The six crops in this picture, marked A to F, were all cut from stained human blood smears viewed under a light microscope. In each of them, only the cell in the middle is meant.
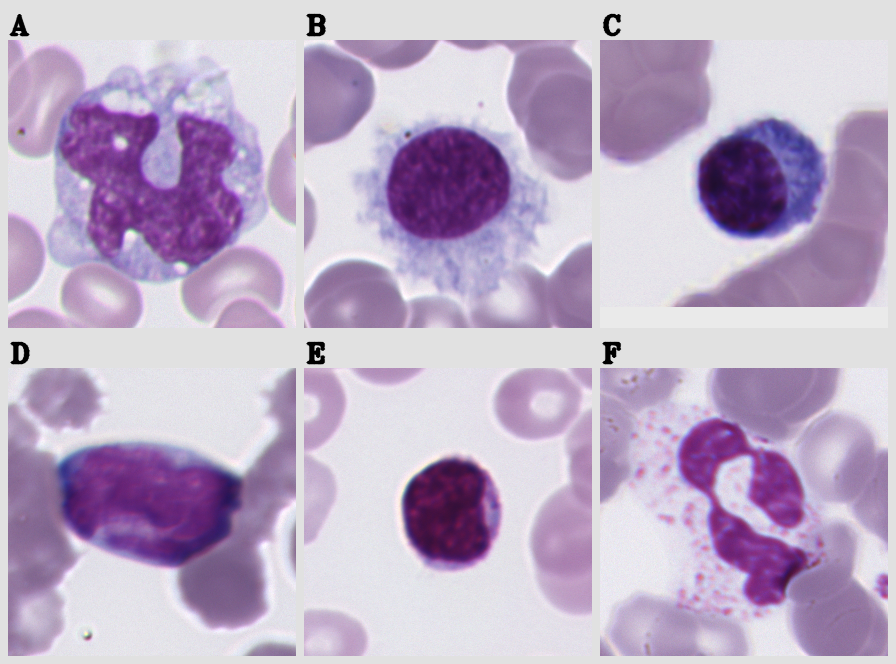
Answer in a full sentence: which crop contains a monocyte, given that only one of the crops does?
Selected crop: A, which is the one that shows a monocyte.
